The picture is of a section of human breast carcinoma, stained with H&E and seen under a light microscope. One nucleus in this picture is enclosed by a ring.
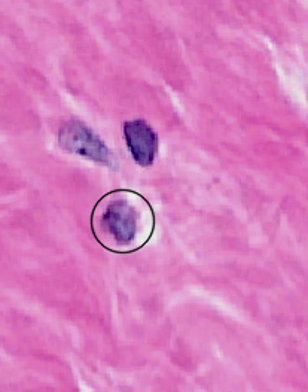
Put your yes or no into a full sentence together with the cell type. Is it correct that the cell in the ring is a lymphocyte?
Yes, the cell in the ring is identified as a lymphocyte in this section.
